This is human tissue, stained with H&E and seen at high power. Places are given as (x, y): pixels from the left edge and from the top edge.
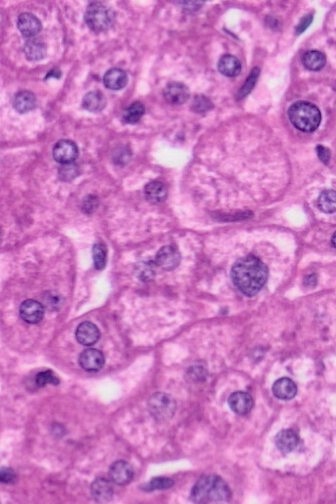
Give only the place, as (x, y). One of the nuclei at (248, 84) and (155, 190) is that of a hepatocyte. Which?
(155, 190)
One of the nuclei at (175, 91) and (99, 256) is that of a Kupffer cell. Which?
(99, 256)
